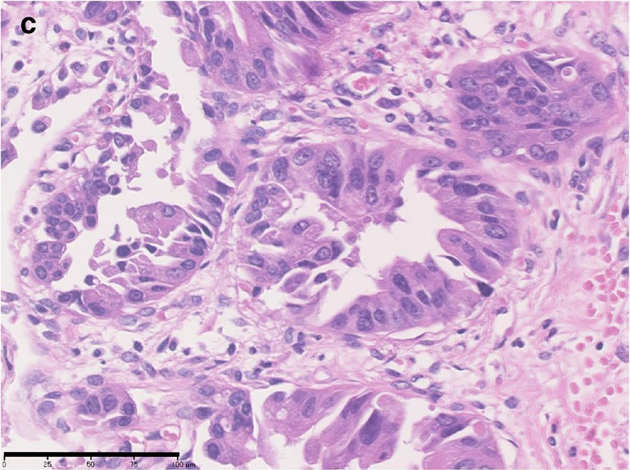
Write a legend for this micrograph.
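The section shows a gland-forming epithelial tumor made of irregular ducts and glands set in a fibrous stroma. The tall columnar cells lining the glands have enlarged, oval, crowded nuclei that are stacked at different levels, some with visible nucleoli, and pink cytoplasm. Some glands have open lumens while others form solid nests and small papillary tufts.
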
